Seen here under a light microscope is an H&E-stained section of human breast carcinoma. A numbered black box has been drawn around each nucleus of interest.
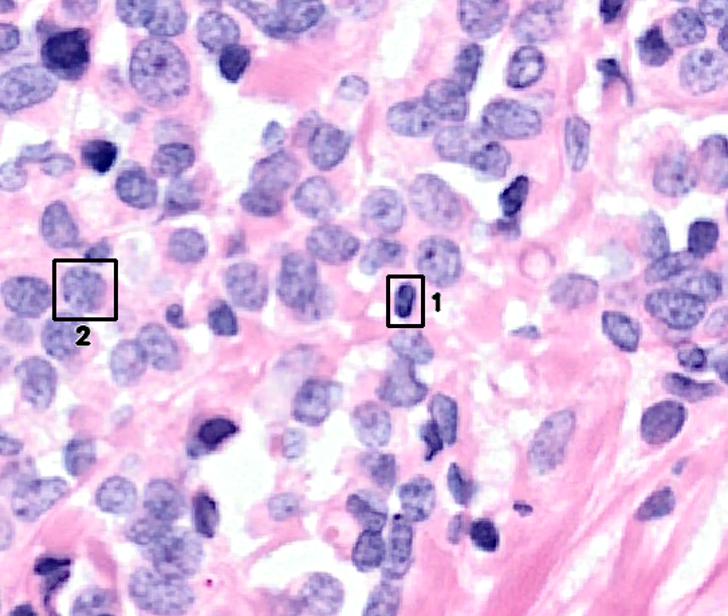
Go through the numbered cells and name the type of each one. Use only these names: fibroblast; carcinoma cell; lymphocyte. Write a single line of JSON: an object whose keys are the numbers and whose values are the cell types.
{"1": "lymphocyte", "2": "carcinoma cell"}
